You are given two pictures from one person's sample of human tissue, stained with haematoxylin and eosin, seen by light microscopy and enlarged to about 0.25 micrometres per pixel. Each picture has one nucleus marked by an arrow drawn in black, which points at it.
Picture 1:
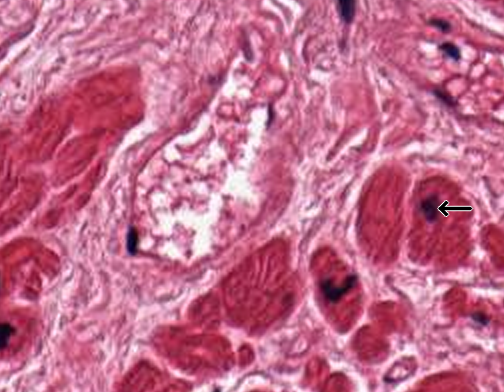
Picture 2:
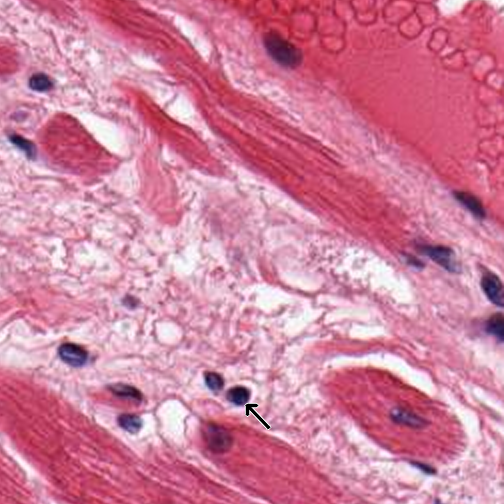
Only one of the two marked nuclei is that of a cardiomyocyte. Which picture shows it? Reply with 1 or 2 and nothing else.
1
